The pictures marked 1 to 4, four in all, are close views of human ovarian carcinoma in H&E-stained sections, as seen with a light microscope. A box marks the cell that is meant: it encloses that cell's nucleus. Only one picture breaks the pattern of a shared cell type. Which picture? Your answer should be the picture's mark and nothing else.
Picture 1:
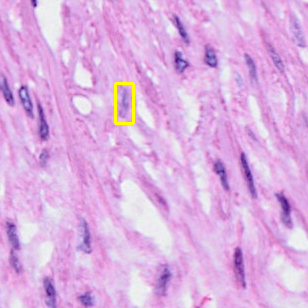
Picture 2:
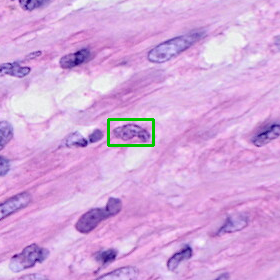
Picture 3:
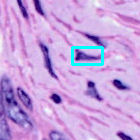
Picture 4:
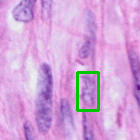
2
